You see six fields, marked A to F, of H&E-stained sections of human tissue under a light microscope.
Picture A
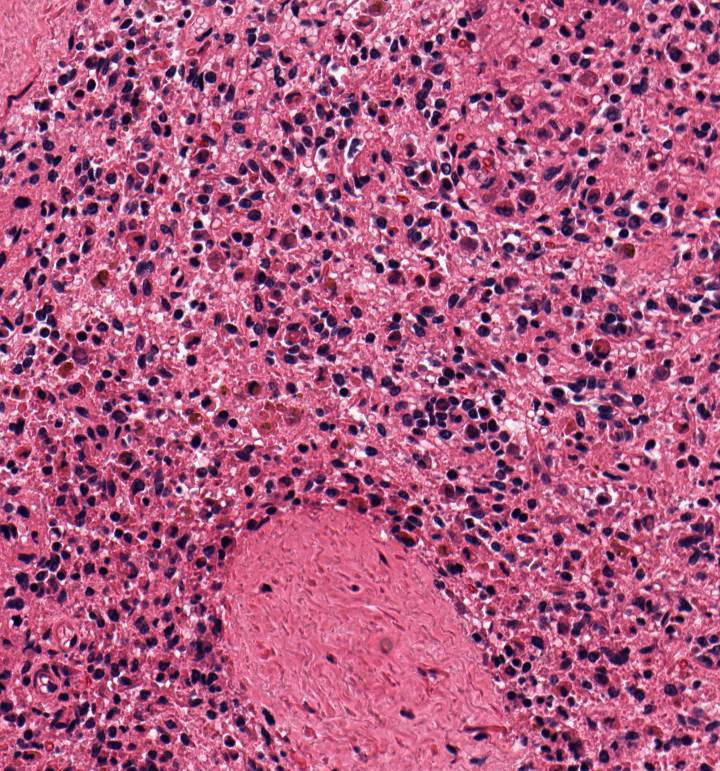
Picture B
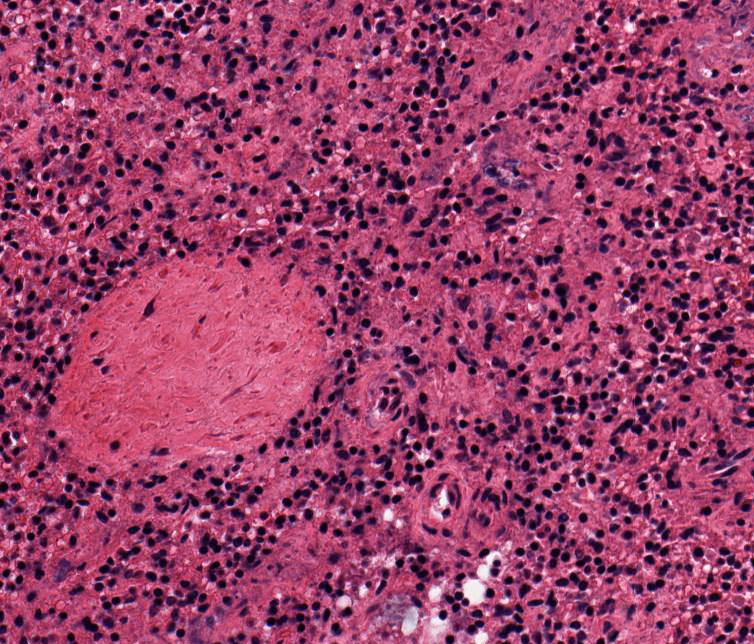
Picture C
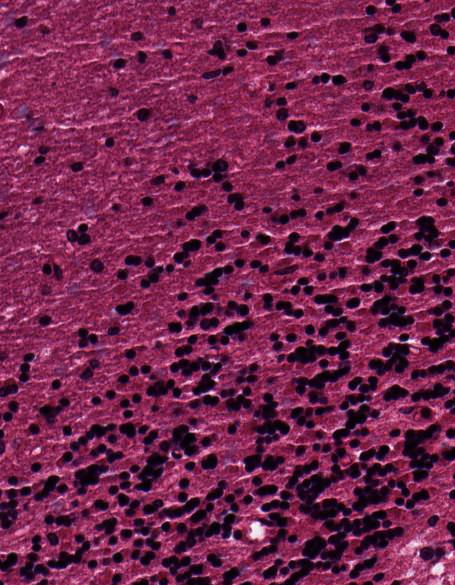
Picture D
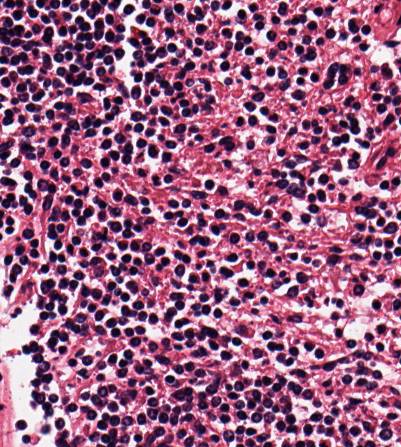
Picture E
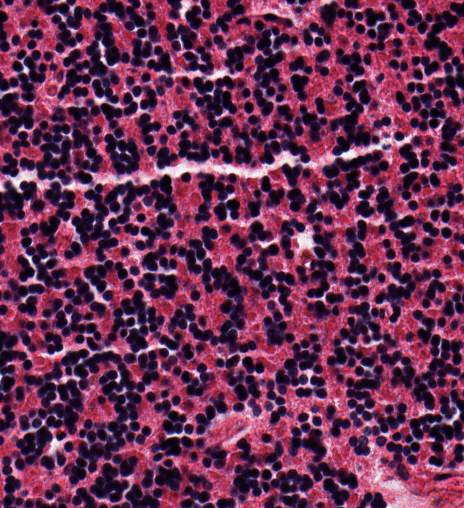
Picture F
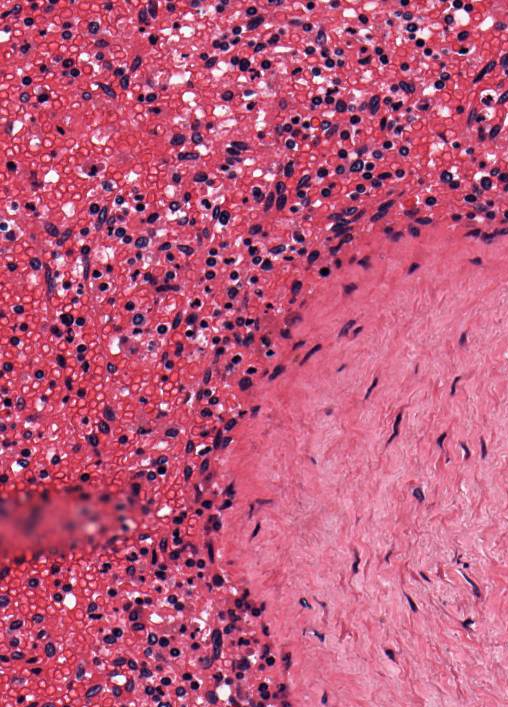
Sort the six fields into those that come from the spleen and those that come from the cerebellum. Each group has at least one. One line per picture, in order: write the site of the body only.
spleen
spleen
cerebellum
spleen
cerebellum
spleen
